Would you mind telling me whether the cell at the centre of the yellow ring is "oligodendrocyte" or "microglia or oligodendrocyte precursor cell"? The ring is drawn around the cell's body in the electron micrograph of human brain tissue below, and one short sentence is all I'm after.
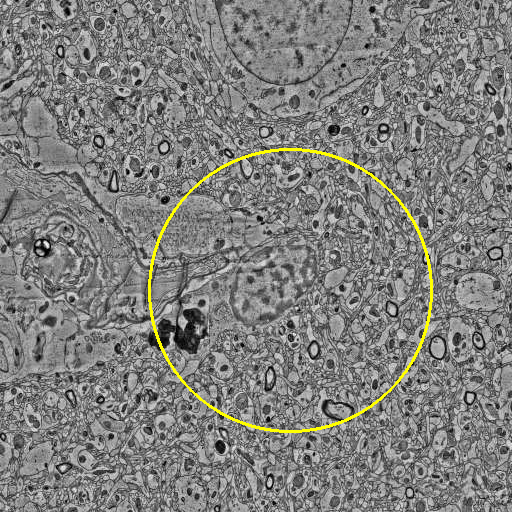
In the centre of the ring lies an oligodendrocyte.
